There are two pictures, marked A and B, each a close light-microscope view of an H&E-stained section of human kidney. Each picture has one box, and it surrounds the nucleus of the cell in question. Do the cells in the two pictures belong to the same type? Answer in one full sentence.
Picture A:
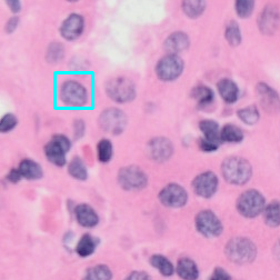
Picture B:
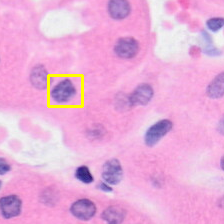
No; the cell in picture A is a “loop of Henle or distal tubule cell”, while the one in picture B is a proximal tubule cell.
